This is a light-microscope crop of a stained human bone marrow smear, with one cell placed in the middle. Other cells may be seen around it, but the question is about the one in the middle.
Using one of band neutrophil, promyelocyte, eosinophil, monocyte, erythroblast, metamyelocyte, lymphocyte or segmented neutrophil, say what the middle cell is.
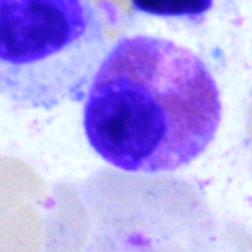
eosinophil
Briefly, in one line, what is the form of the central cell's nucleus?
A single compact nucleus, round, oval or kidney-shaped, is what this cell shows.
